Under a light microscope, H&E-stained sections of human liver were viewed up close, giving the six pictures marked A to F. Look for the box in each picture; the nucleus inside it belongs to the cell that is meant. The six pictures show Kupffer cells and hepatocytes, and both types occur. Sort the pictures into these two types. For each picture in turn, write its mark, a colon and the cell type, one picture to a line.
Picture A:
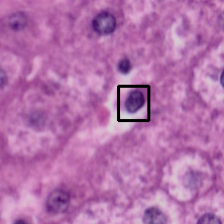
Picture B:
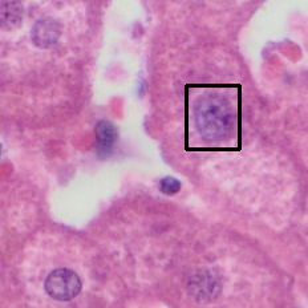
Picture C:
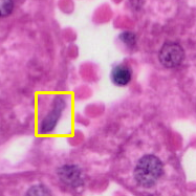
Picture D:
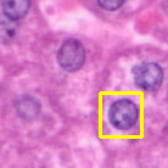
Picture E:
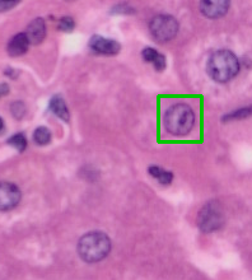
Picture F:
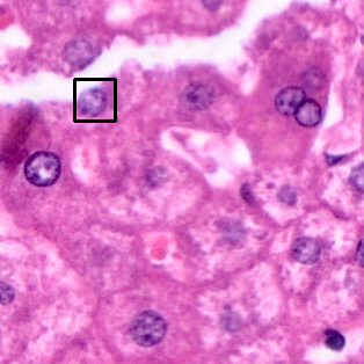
A: Kupffer cell
B: hepatocyte
C: Kupffer cell
D: hepatocyte
E: hepatocyte
F: hepatocyte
